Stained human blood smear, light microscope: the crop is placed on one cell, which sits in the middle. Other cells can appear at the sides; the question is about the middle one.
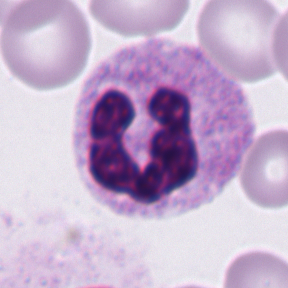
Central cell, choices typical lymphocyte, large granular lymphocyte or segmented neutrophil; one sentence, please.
The cell at the middle of the frame should be recorded as a segmented neutrophil.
